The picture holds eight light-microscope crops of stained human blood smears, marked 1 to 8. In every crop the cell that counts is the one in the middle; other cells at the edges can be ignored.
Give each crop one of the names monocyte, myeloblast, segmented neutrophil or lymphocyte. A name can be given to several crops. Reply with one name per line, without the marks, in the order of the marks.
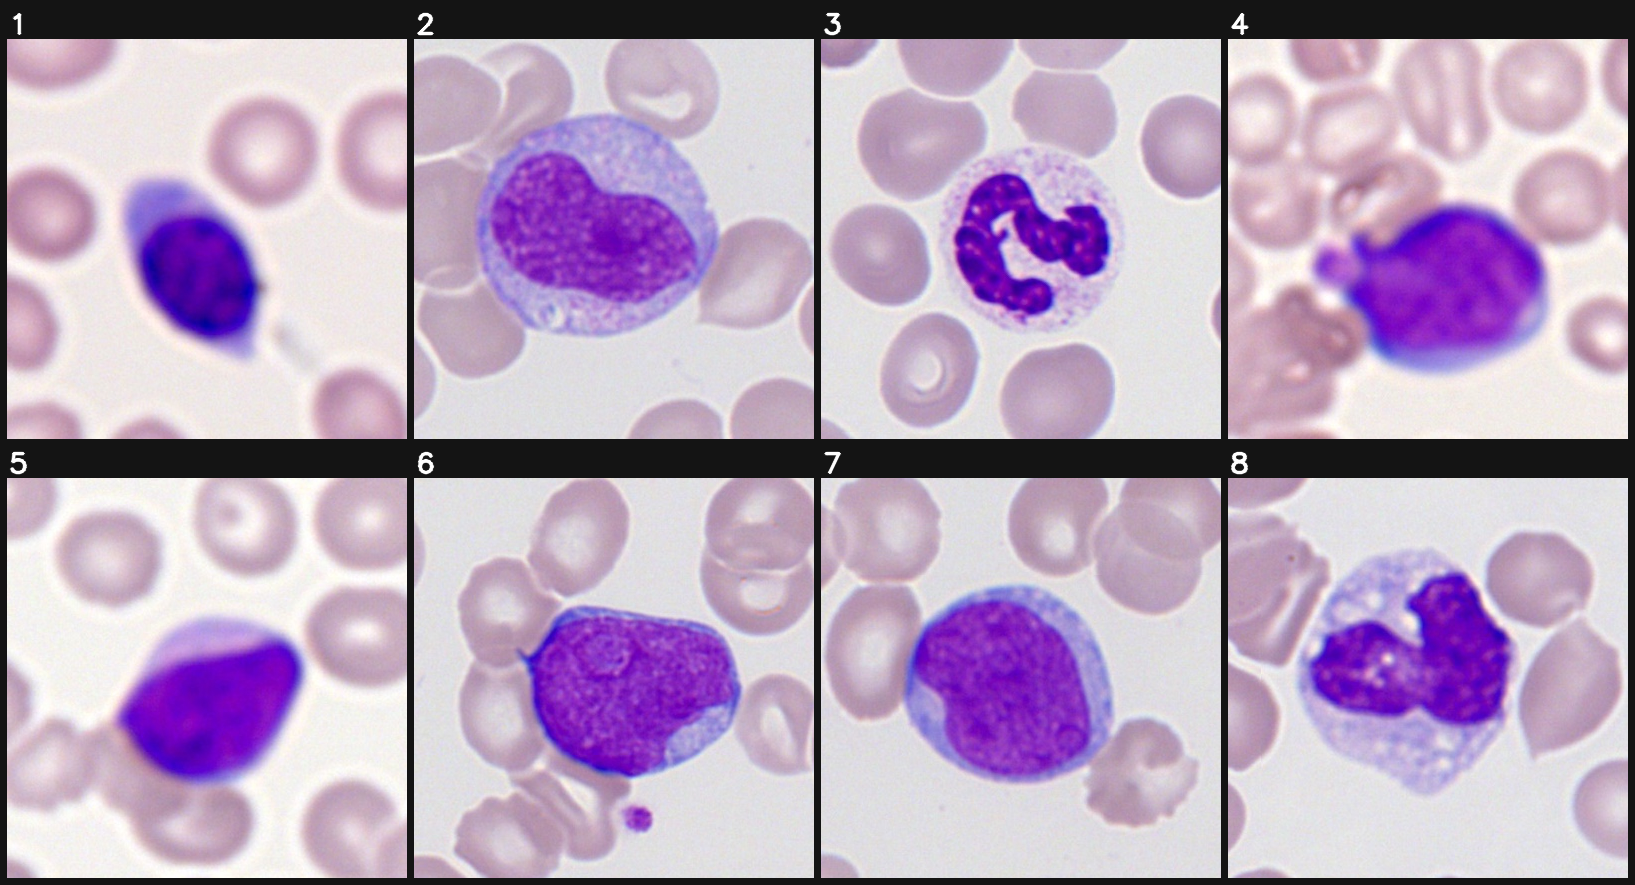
lymphocyte
monocyte
segmented neutrophil
myeloblast
myeloblast
myeloblast
myeloblast
monocyte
